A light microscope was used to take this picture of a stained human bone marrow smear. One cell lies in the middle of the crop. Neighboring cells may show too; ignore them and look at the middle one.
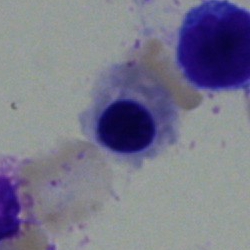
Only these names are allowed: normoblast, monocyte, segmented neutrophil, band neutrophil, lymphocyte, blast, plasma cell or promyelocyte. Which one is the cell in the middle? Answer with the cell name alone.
normoblast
